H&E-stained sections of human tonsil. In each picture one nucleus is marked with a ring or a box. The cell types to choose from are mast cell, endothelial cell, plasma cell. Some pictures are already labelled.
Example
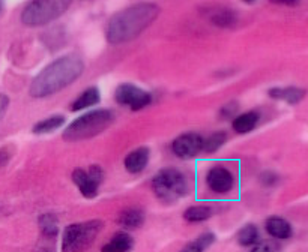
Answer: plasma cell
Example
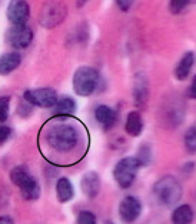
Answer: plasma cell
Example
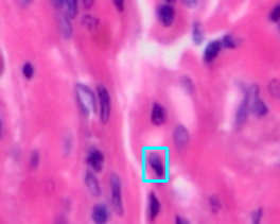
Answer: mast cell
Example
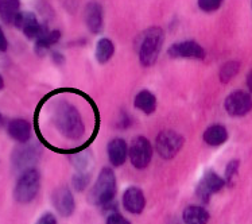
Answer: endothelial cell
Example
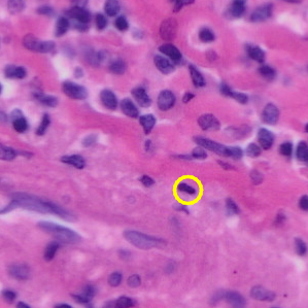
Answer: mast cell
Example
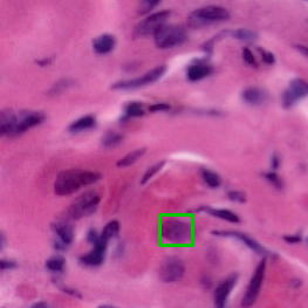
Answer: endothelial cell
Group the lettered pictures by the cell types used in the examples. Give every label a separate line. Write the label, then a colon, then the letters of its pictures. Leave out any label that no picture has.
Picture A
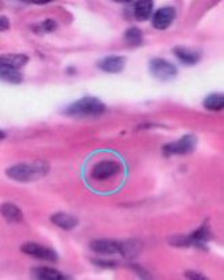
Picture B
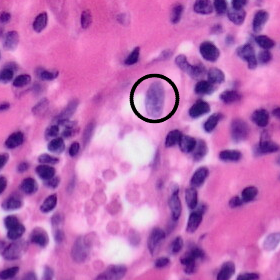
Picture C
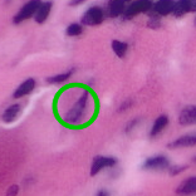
mast cell: A
endothelial cell: B, C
